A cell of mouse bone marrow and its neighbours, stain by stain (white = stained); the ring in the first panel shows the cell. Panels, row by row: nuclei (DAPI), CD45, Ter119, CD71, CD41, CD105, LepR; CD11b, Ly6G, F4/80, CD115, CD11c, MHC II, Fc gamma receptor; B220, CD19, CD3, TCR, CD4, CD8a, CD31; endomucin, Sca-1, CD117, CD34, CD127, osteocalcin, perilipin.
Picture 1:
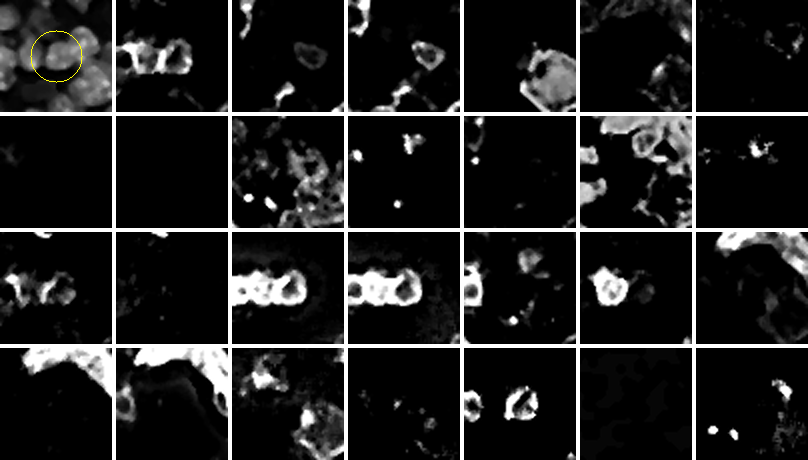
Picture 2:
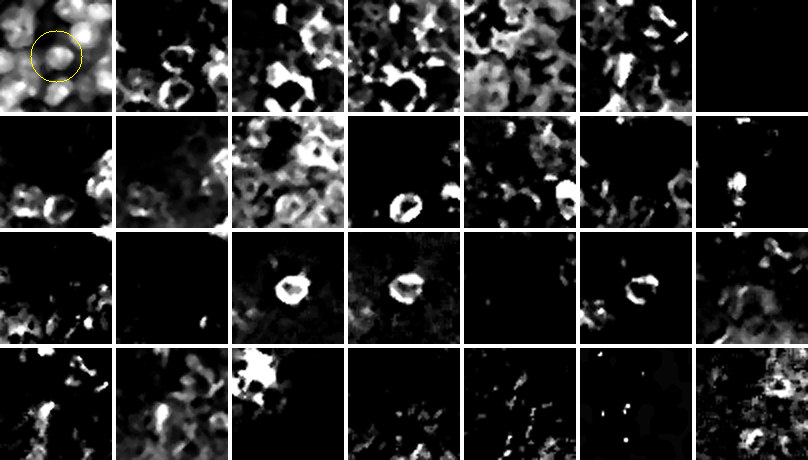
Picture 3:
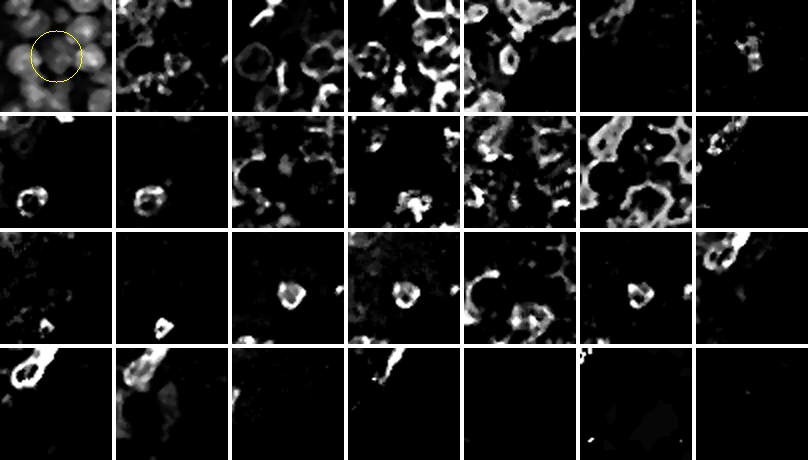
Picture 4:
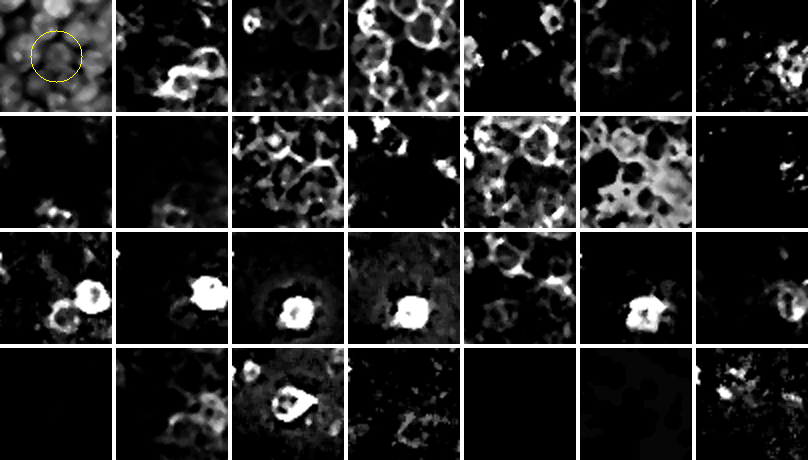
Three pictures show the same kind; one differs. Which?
Picture 4: a megakaryocyte-erythroid progenitor, while the others are double-negative T cells.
